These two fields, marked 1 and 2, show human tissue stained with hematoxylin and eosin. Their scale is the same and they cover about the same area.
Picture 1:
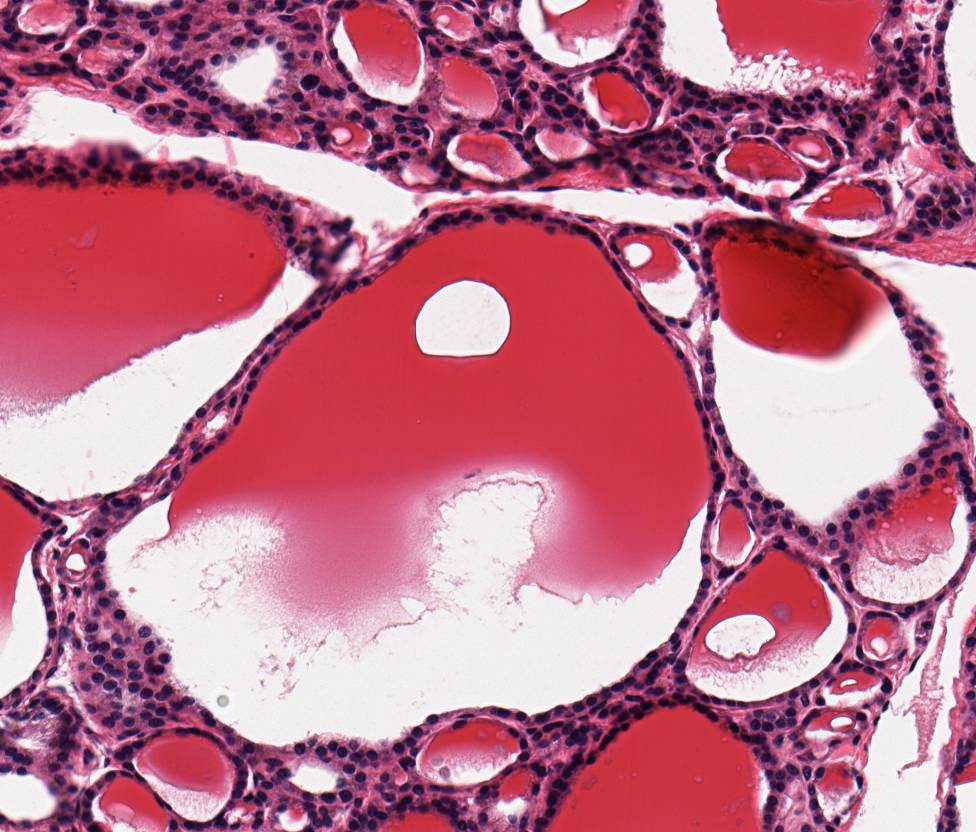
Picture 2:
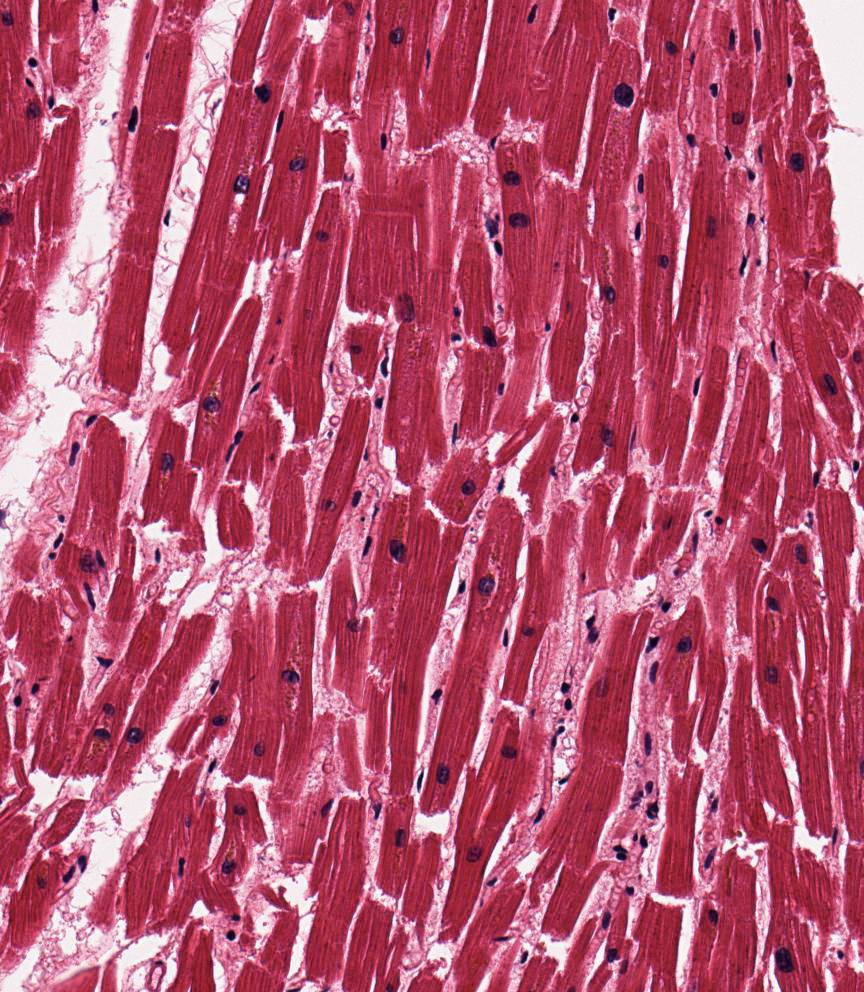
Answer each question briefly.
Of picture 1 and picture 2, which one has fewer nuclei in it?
2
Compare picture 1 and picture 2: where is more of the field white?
1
